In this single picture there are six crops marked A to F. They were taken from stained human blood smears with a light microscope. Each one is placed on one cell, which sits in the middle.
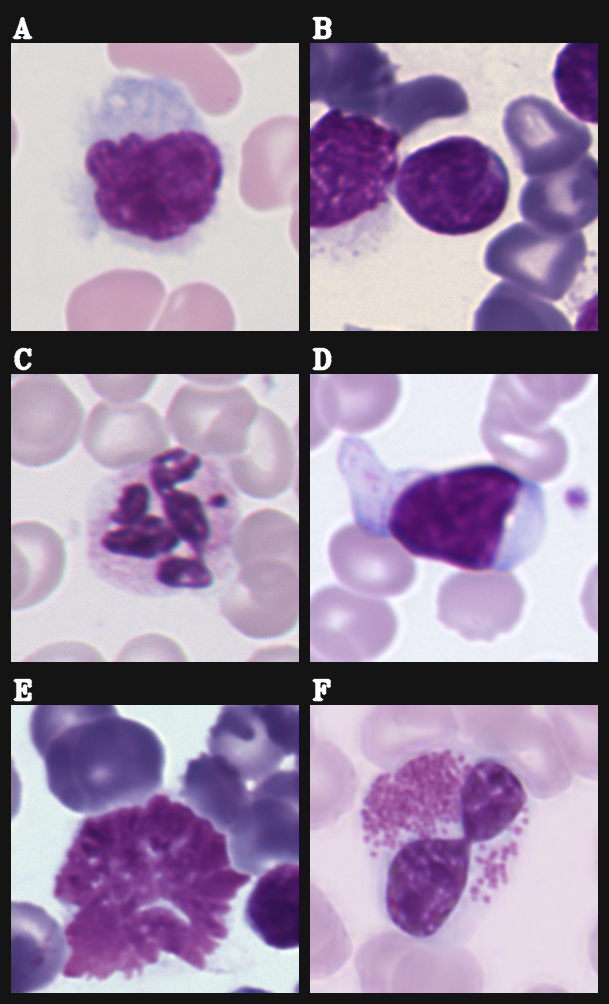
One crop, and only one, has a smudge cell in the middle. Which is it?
E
